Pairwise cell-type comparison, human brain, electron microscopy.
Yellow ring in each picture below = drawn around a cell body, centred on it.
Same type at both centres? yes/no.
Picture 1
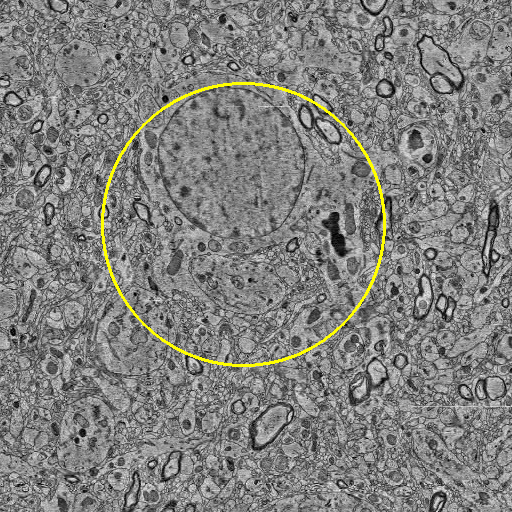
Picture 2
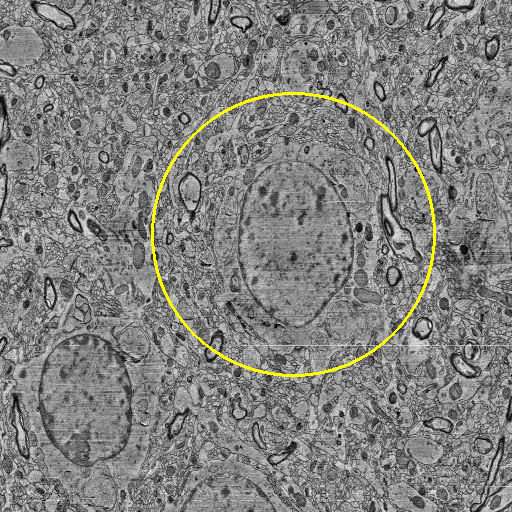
yes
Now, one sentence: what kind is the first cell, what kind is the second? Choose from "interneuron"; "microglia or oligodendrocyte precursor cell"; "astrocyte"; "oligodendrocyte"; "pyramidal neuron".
The cell in the first picture is an astrocyte, and so is the one in the second.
